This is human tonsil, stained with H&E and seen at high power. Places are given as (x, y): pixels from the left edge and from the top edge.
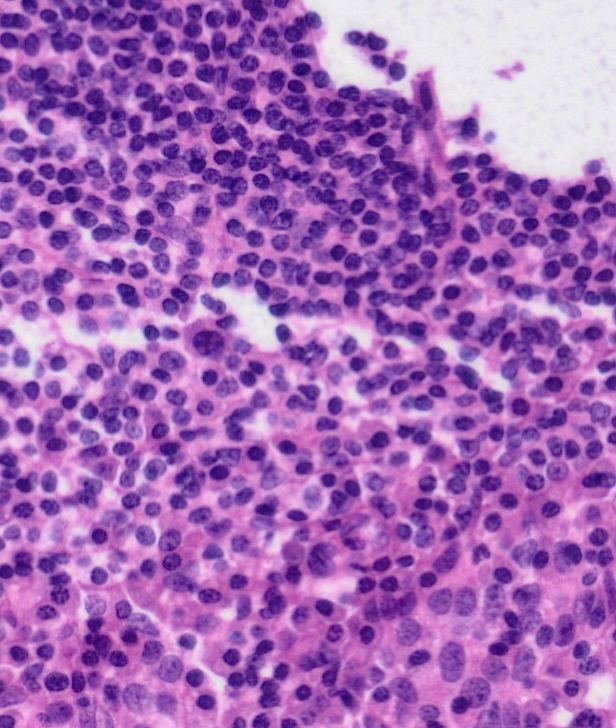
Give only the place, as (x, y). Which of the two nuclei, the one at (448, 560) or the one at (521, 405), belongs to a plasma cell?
(521, 405)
